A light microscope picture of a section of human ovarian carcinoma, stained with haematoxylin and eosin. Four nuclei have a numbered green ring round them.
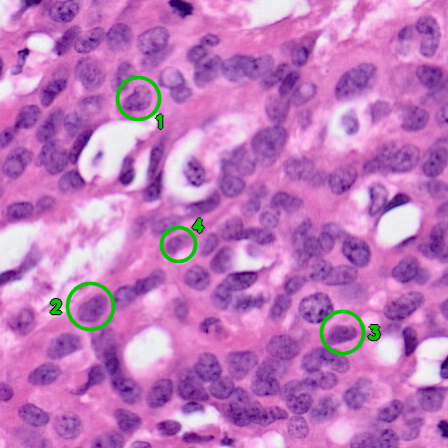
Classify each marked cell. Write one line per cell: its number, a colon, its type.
1: macrophage or monocyte
2: carcinoma cell
3: carcinoma cell
4: carcinoma cell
